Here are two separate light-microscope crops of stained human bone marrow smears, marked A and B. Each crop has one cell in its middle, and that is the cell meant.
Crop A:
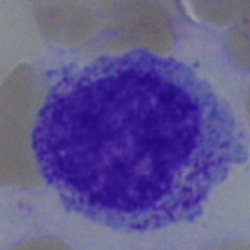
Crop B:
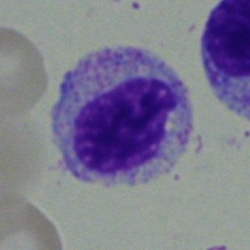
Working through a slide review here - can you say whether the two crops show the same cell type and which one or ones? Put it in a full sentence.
Yes, what both crops show at their centres are myelocytes.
